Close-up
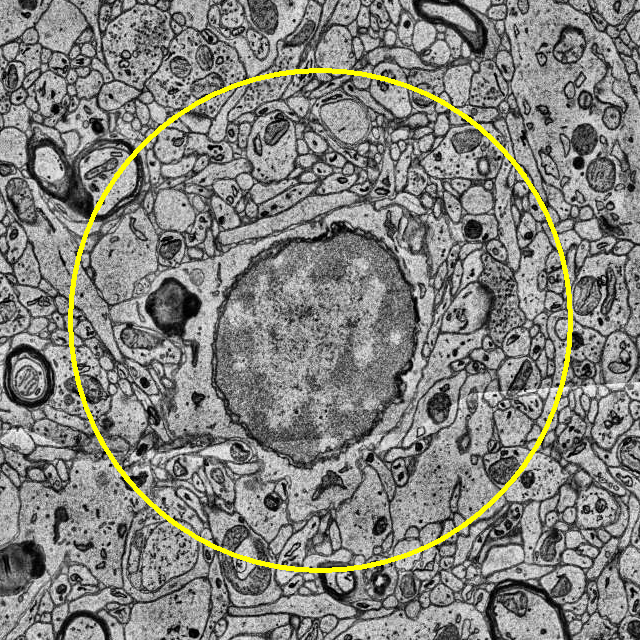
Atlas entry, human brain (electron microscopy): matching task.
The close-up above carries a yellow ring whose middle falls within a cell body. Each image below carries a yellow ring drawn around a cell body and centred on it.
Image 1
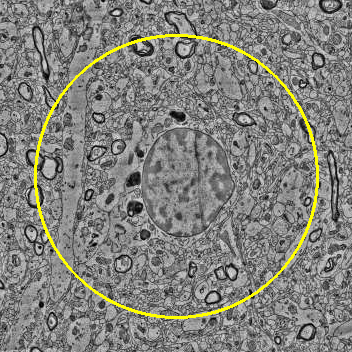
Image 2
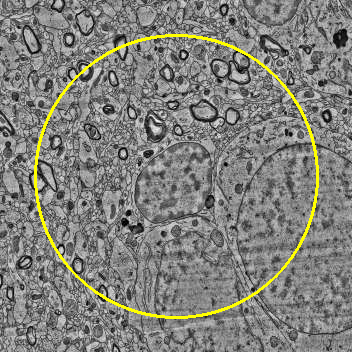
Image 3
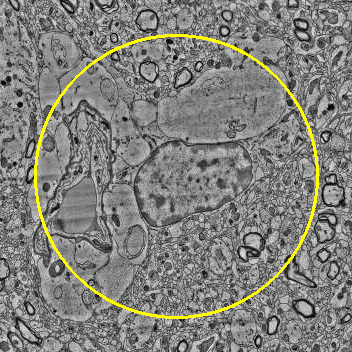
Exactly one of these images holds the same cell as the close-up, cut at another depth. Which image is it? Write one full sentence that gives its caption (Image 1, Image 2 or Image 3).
The close-up presents the same cell outlined by the ring in Image 1.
